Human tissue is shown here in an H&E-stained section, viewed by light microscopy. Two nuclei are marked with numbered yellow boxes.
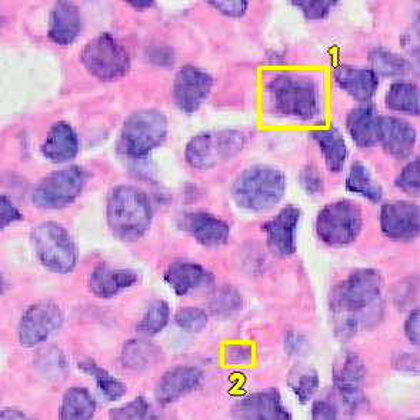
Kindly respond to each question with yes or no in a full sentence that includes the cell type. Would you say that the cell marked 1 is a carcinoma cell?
Yes, the numbered cell 1 is identified as a carcinoma cell.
